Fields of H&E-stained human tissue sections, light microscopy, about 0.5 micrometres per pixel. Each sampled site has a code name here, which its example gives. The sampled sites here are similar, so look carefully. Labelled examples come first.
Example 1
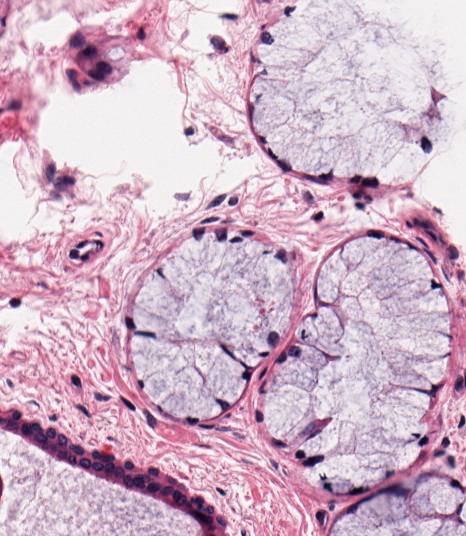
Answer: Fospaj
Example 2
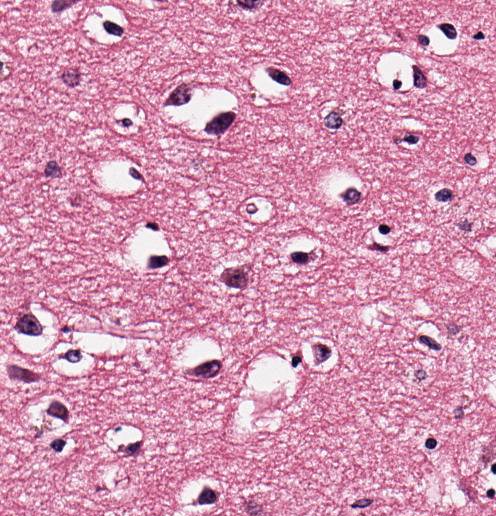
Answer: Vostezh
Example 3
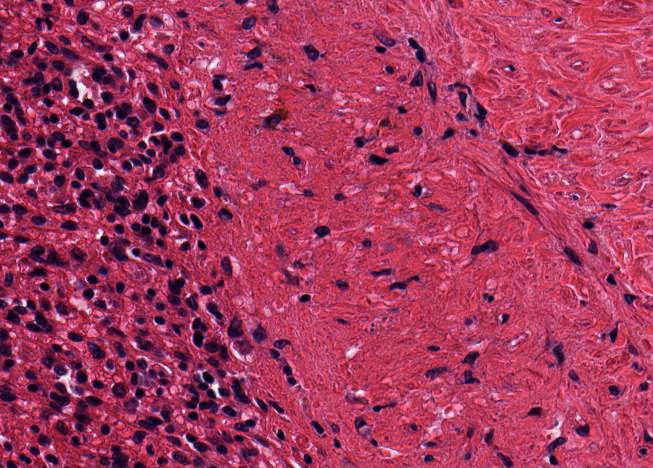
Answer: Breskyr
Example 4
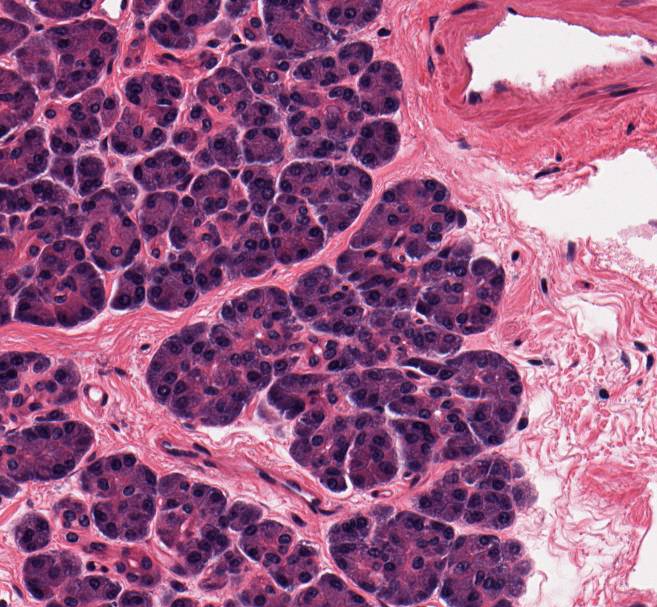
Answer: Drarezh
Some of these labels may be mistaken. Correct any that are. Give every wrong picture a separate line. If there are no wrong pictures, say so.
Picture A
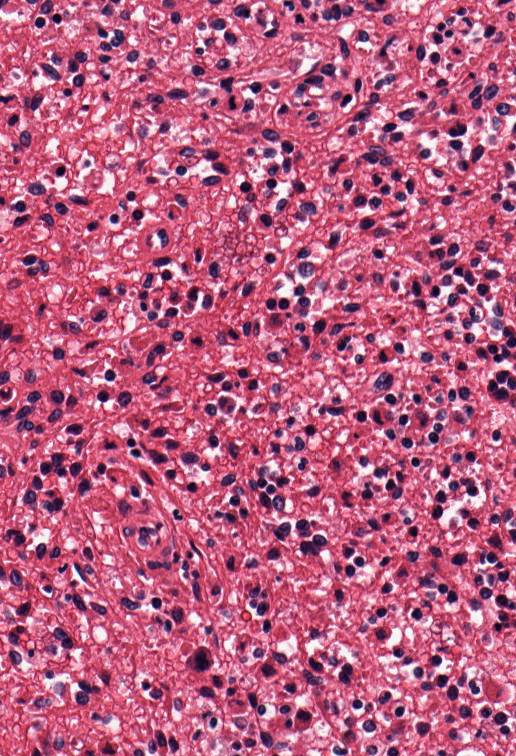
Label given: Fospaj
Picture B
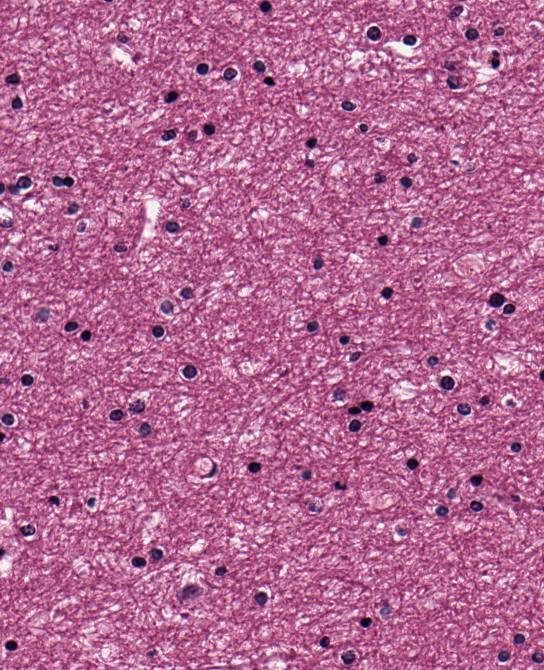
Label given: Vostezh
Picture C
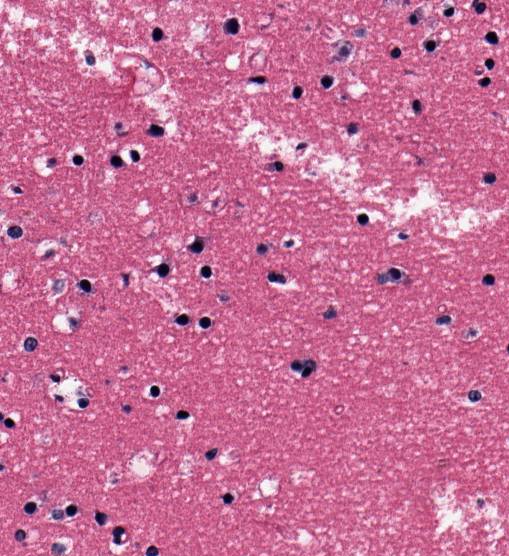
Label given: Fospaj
A: change Fospaj to Breskyr
C: change Fospaj to Vostezh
